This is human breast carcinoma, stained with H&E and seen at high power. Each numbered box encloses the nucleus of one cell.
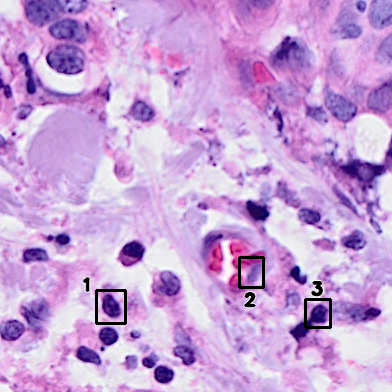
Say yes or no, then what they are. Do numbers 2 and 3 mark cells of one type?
No, cell 2 is typed as an endothelial cell, and cell 3 is typed as a lymphocyte.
